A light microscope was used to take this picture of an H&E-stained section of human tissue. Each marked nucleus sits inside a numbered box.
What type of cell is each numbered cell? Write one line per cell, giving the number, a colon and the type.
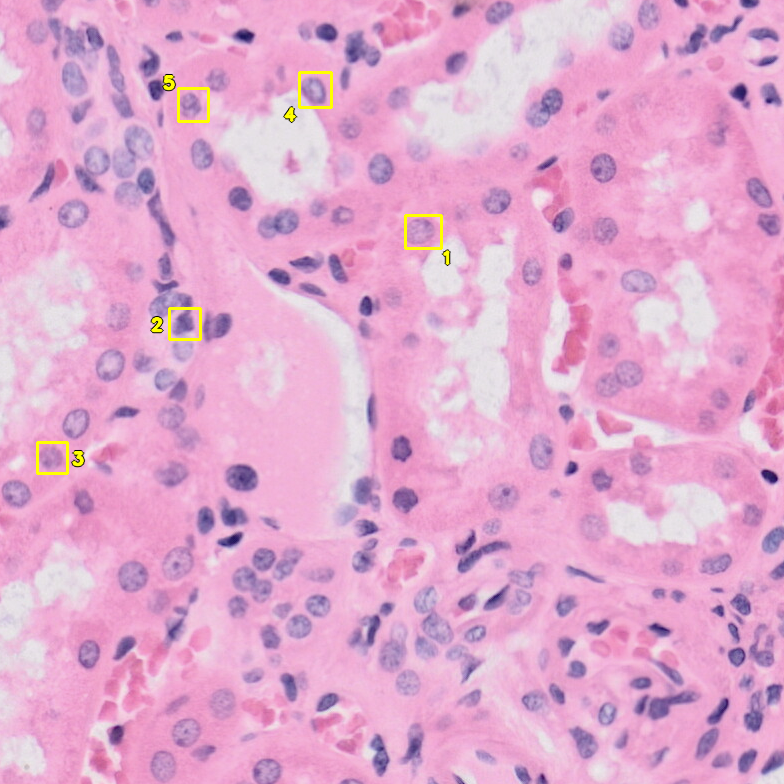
1: proximal tubule cell
2: collecting duct cell
3: proximal tubule cell
4: loop of Henle or distal tubule cell
5: loop of Henle or distal tubule cell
